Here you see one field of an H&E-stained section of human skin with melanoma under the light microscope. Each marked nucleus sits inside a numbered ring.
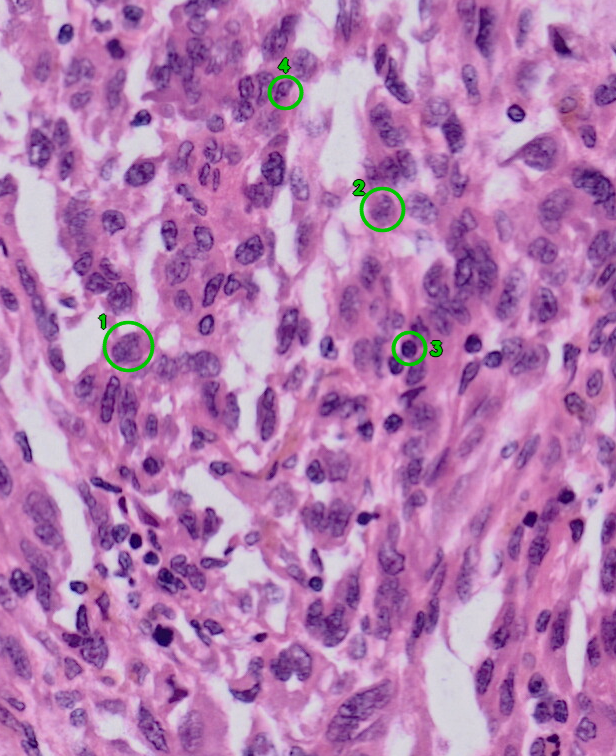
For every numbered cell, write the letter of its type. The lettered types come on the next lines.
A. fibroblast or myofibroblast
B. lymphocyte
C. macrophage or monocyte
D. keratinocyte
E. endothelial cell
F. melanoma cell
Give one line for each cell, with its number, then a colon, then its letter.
1: F
2: F
3: B
4: F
